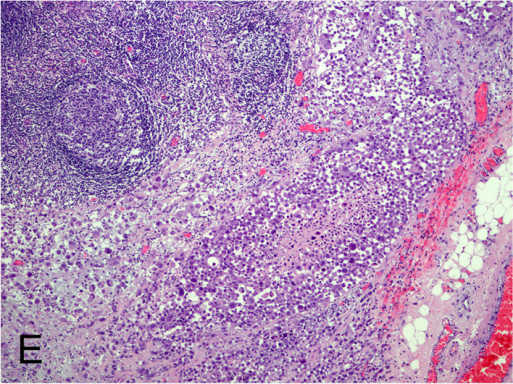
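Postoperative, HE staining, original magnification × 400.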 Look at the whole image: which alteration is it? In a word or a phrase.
Lymph nodes metastasis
